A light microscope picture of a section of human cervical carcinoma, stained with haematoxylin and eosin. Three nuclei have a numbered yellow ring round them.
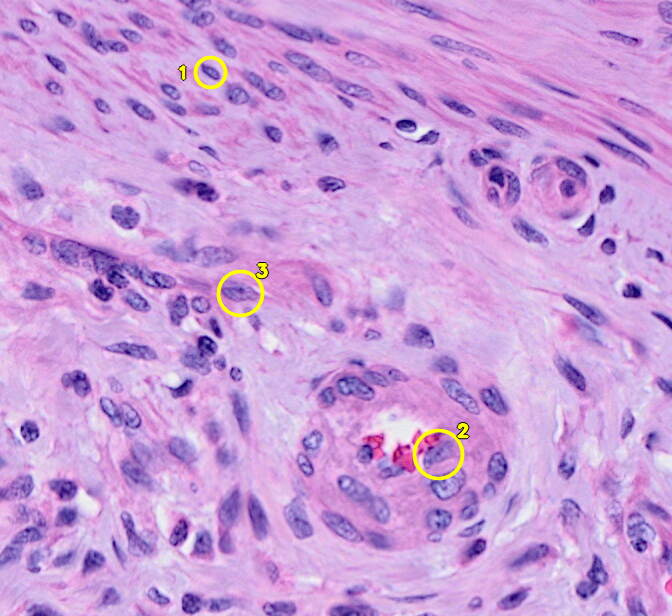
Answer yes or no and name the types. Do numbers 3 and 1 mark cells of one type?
No, cell 3 is to be identified as an endothelial cell and cell 1 as a smooth muscle cell.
